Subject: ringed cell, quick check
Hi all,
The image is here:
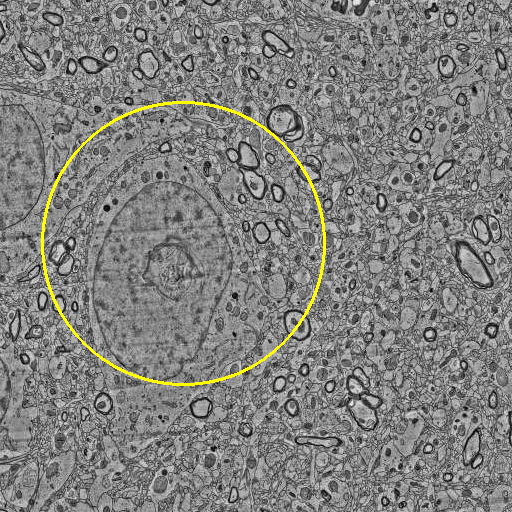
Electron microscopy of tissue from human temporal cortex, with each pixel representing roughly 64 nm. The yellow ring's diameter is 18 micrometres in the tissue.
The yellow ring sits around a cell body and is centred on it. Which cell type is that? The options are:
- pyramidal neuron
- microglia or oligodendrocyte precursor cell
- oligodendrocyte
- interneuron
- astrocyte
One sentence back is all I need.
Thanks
That ringed cell is an interneuron.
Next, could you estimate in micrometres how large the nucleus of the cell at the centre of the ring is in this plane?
In this plane the nucleus is about 13 micrometres by 9.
